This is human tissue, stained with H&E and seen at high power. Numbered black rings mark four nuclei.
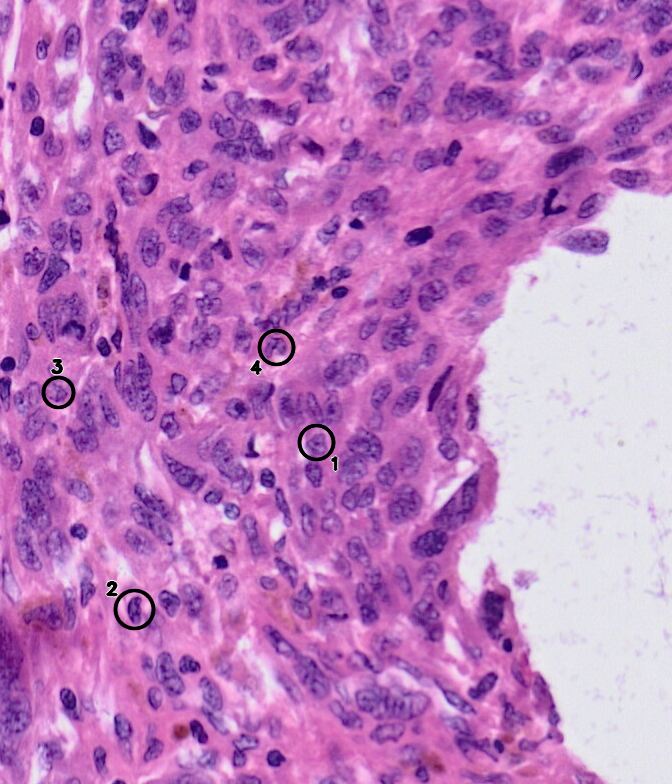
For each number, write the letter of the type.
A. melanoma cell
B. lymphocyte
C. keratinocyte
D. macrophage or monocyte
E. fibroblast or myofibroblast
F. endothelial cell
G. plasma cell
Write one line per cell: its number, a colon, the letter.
1: A
2: B
3: D
4: D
